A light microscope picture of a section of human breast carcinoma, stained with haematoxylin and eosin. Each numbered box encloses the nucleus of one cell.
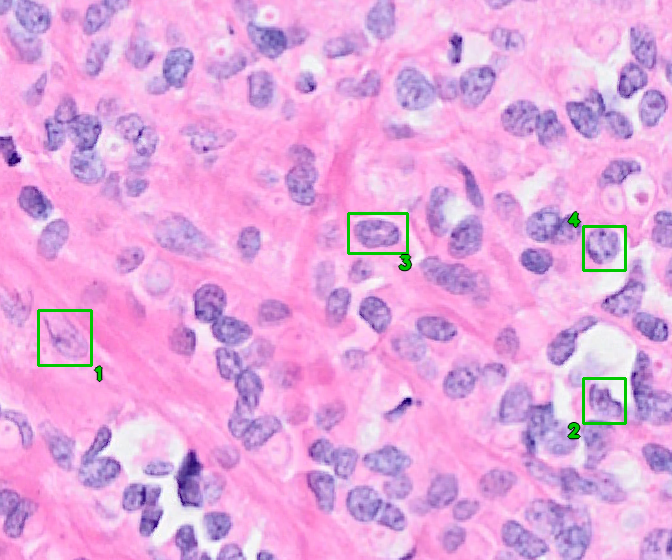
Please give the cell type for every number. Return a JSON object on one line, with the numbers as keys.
{"1": "fibroblast", "2": "carcinoma cell", "3": "carcinoma cell", "4": "carcinoma cell"}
